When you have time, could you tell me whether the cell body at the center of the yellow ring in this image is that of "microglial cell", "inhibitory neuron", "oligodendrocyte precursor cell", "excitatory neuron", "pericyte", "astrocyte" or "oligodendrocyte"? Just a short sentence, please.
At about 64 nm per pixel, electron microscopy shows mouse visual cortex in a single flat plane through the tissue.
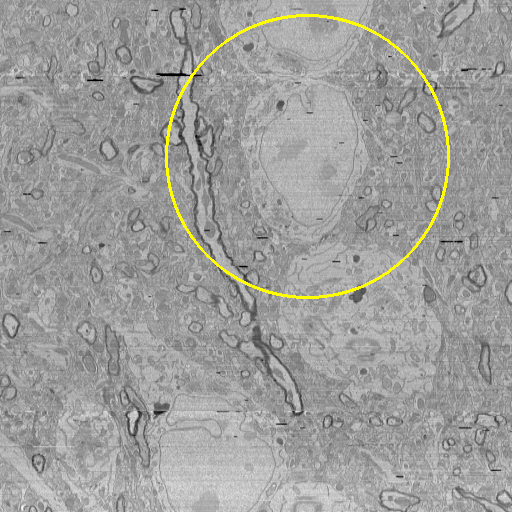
The cell body at the center of the ring is that of an excitatory neuron.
